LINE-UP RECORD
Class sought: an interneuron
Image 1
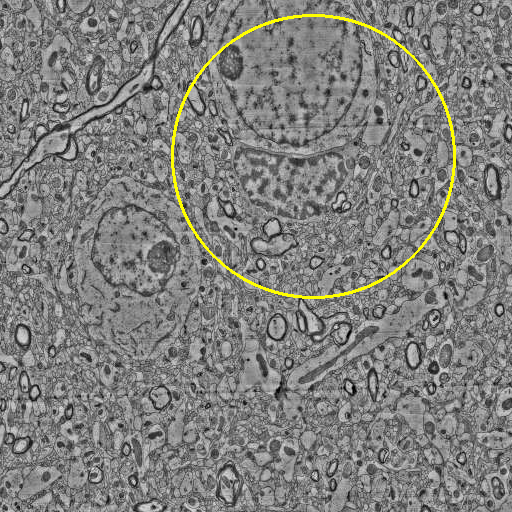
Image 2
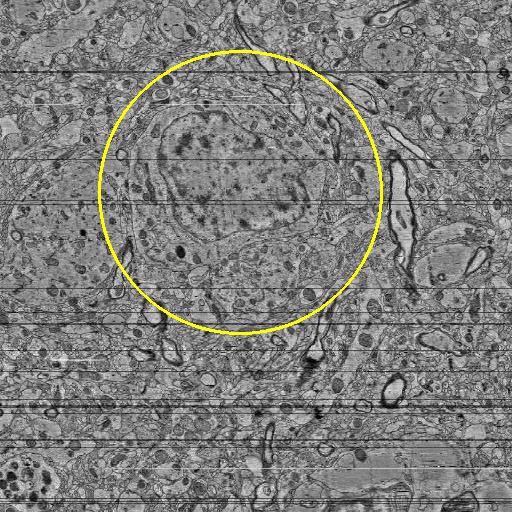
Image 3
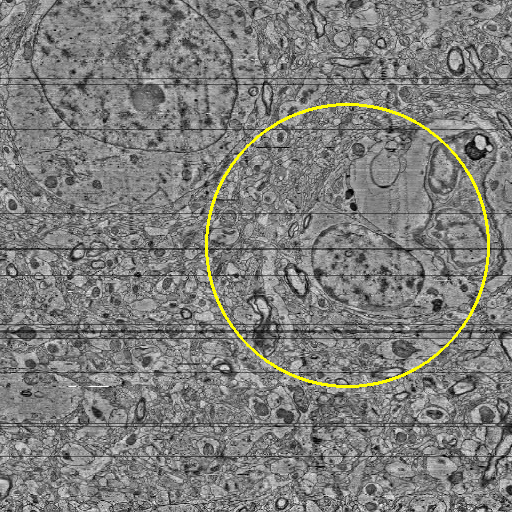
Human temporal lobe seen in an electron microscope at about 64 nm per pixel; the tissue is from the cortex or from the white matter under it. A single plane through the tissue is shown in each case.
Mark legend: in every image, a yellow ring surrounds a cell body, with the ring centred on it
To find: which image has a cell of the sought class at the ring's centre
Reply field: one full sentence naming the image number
The ring-centred cell of image 2 belongs to the class sought.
